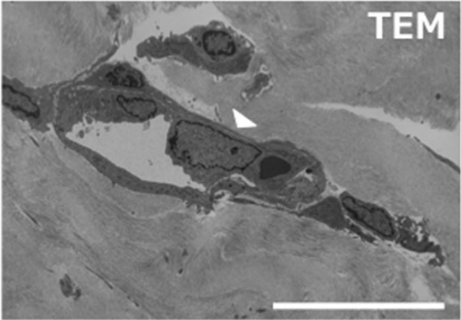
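Within pale homogeneous fibrous stroma, a chain of elongated cells with dark oval nuclei surrounds a pale, irregular lumen. The thin cytoplasm of these cells lines the space like a vessel wall.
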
